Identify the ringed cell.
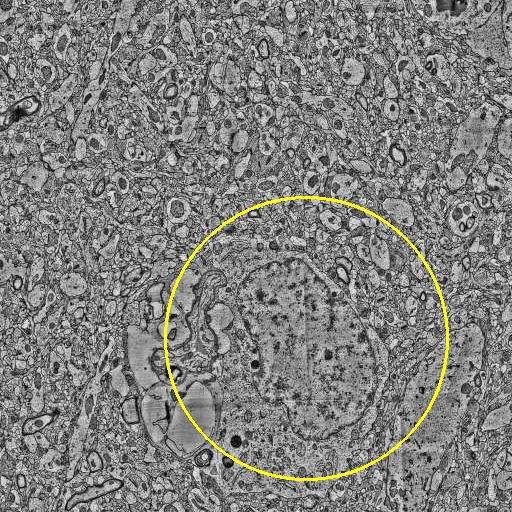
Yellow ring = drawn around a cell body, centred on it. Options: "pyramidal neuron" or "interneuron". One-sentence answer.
What the ring is centred on is an interneuron.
